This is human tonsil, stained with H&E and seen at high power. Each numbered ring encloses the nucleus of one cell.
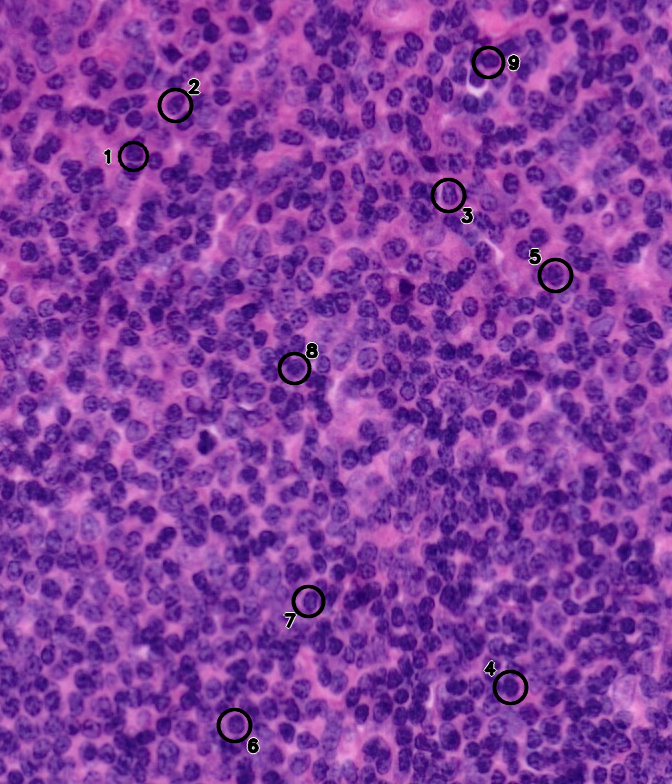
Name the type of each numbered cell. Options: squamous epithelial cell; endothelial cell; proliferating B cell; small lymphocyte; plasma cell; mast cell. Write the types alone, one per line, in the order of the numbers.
plasma cell
plasma cell
plasma cell
small lymphocyte
plasma cell
small lymphocyte
small lymphocyte
small lymphocyte
small lymphocyte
